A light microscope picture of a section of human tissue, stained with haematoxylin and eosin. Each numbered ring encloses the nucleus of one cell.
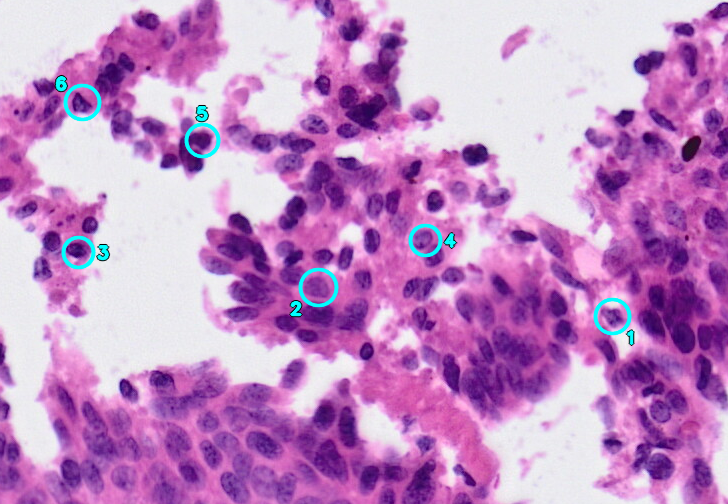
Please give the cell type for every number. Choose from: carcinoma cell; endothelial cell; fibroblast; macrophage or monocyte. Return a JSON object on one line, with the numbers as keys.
{"1": "macrophage or monocyte", "2": "carcinoma cell", "3": "macrophage or monocyte", "4": "macrophage or monocyte", "5": "carcinoma cell", "6": "macrophage or monocyte"}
